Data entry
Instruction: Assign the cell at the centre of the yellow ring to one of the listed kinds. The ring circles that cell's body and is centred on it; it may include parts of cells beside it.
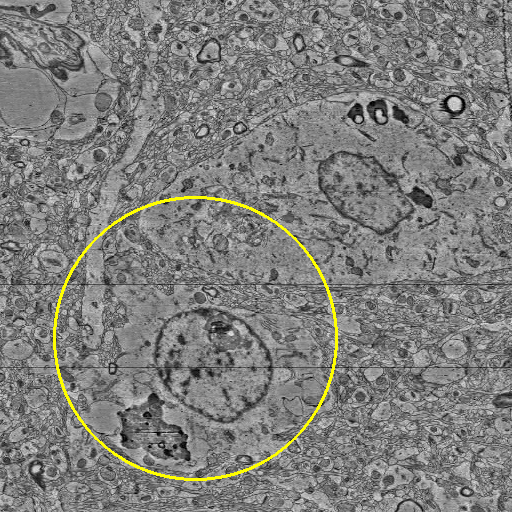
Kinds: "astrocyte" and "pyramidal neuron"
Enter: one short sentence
The centre of the ring falls on an astrocyte.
